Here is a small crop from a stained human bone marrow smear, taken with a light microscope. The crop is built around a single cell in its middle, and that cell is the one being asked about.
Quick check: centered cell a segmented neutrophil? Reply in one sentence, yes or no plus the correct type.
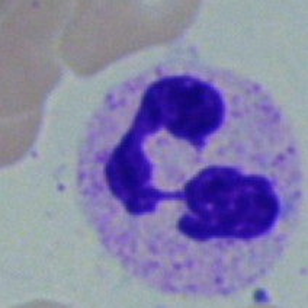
Yes, the central cell is to be recorded as a segmented neutrophil.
